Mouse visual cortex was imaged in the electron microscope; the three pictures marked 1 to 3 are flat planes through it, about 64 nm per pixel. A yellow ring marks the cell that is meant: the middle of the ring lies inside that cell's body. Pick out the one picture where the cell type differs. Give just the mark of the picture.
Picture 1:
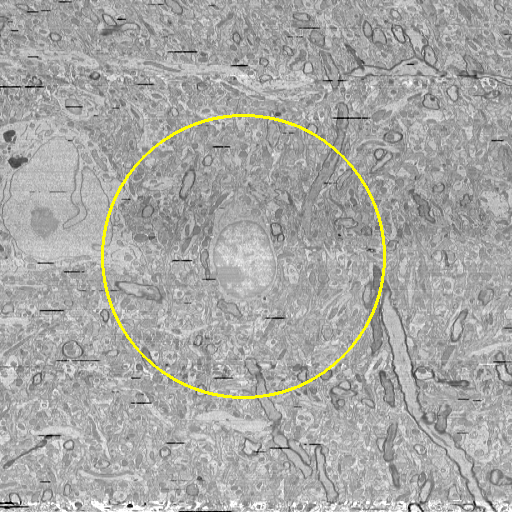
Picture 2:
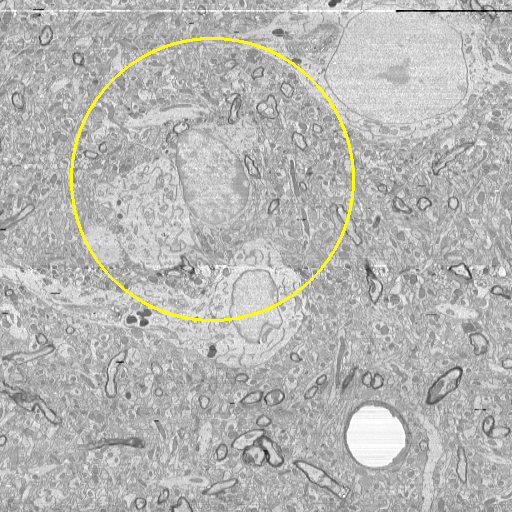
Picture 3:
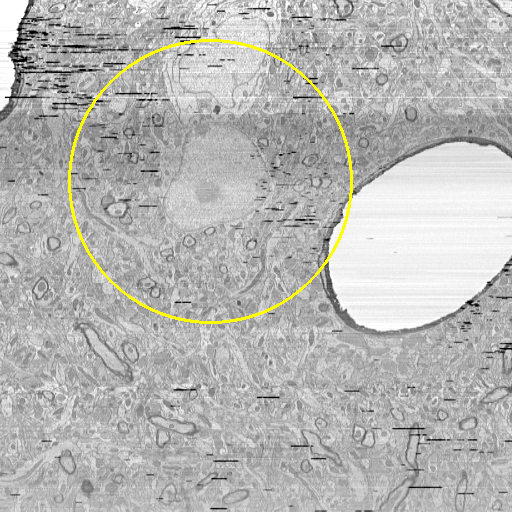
3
